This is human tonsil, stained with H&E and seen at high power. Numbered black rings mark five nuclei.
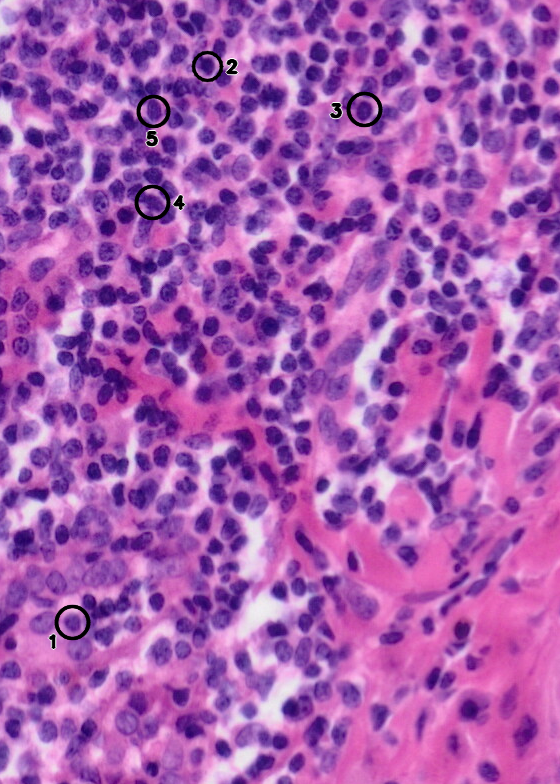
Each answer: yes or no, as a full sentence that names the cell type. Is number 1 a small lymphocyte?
No, what is marked as number 1 is an endothelial cell rather than a small lymphocyte.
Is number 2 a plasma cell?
No, cell 2 counts as a small lymphocyte rather than as a plasma cell.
